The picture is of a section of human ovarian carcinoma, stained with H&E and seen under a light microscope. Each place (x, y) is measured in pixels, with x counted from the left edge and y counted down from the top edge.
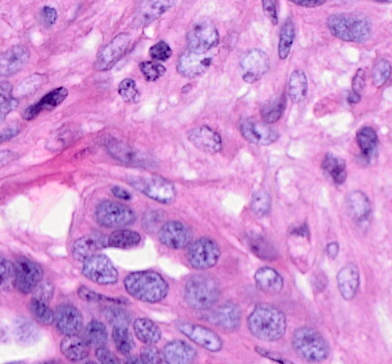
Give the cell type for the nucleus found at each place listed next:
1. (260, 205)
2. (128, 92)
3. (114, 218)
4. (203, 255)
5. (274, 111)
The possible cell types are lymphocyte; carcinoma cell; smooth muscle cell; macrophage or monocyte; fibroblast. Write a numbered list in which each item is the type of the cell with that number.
1. fibroblast
2. macrophage or monocyte
3. carcinoma cell
4. carcinoma cell
5. fibroblast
